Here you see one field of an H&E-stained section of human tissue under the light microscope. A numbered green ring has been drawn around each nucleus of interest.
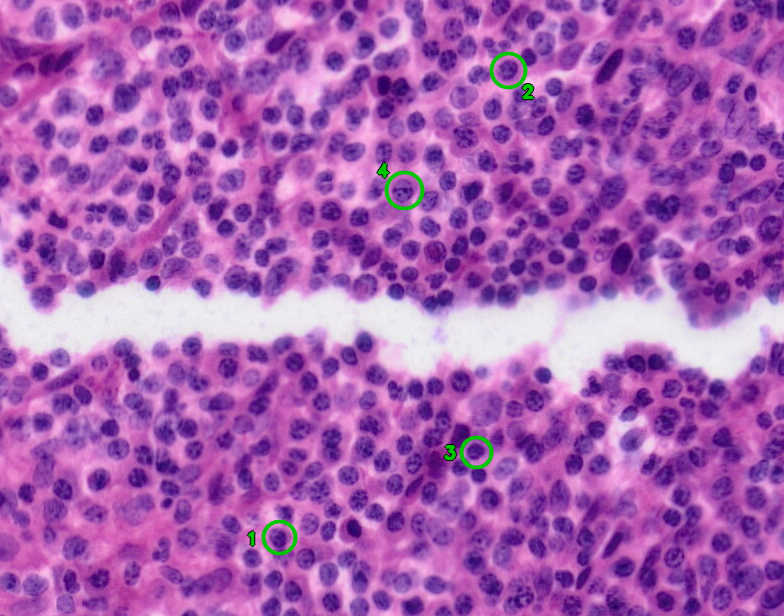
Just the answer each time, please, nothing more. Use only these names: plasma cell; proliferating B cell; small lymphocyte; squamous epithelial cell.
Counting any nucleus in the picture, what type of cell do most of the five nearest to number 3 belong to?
squamous epithelial cell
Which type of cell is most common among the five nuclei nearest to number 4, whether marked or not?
plasma cell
